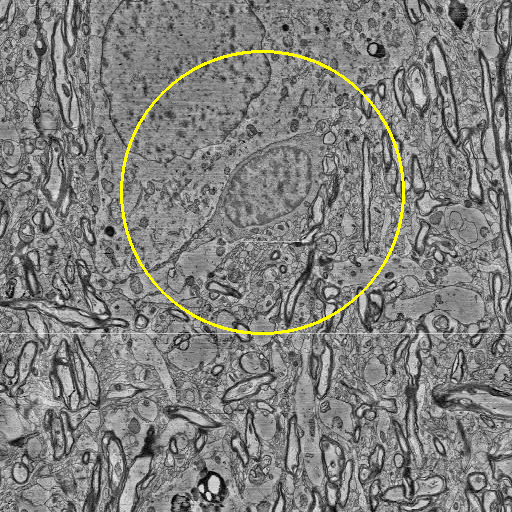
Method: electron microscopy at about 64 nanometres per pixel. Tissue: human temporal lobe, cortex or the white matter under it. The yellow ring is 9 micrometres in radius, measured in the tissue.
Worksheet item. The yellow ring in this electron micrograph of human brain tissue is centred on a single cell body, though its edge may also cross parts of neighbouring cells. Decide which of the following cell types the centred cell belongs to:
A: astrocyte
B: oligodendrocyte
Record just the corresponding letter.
B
